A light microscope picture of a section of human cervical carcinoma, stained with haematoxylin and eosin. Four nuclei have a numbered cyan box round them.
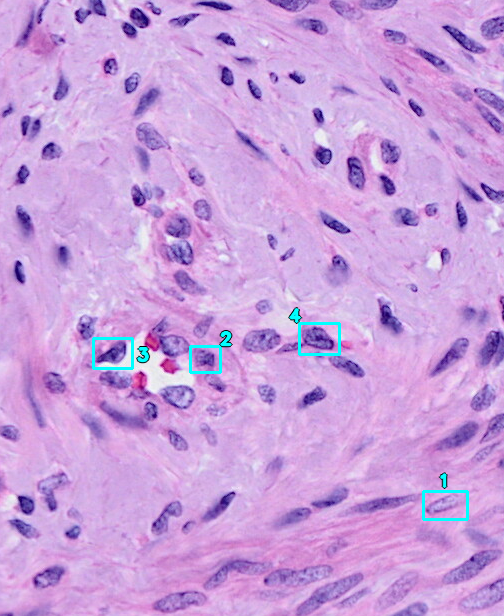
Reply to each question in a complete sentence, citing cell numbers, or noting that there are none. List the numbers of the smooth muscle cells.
Of the cells carrying numbers, just cell 1 is a smooth muscle cell.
